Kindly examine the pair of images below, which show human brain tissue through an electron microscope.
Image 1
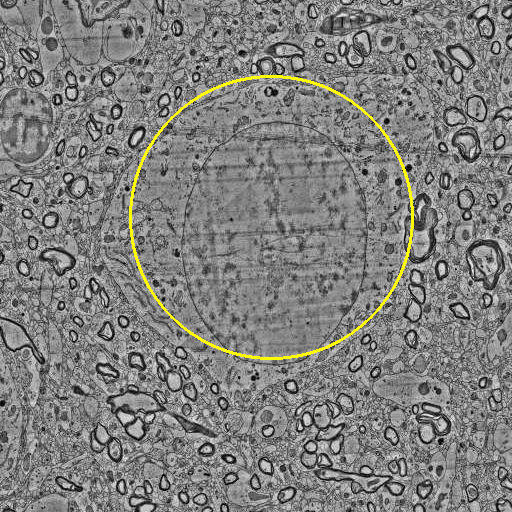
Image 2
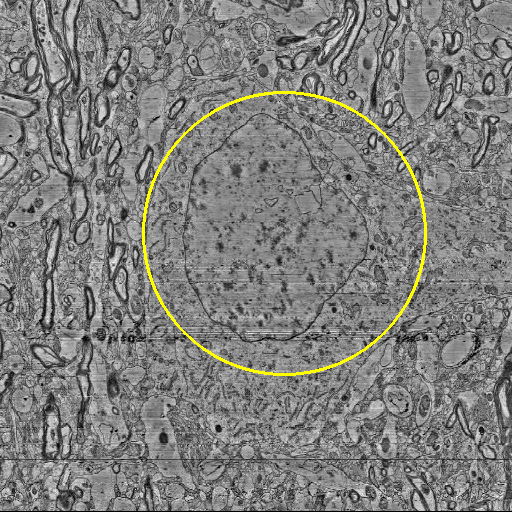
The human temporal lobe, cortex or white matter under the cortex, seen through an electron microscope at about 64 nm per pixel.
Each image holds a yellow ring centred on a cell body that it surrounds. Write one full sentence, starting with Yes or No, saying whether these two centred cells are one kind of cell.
Yes, both cells at the centres of the yellow rings belong to one kind of cell.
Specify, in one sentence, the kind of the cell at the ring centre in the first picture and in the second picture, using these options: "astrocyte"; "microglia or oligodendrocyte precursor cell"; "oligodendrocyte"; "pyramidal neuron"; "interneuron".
Each of the two rings surrounds a pyramidal neuron.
